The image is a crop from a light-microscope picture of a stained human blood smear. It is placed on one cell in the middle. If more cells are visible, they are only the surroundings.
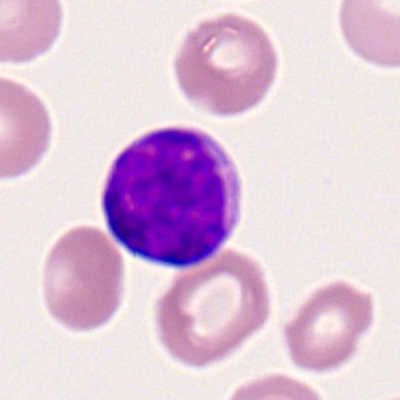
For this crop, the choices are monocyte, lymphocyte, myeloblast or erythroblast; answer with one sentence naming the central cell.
The centrally placed cell is classified as a lymphocyte.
